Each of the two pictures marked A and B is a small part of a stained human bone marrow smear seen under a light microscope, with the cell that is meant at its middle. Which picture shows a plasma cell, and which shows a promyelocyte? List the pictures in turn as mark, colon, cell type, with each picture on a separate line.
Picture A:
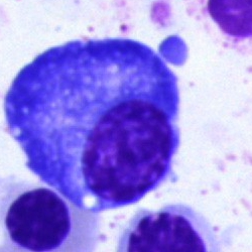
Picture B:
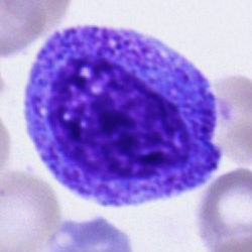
A: plasma cell
B: promyelocyte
